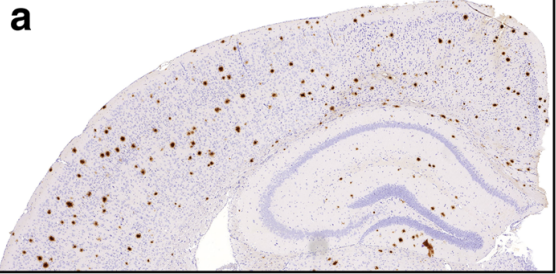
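This low-power section shows the cerebral cortex curving over the hippocampus, with many round, dark brown amyloid plaques scattered through the cortical thickness. The plaques vary in size, from small dots to larger, denser deposits, and are spread fairly evenly from the surface to the deep layers. The blue counterstain picks out the nuclei of the cortical cells as a fine speckle, and the densely packed cell bands of the hippocampus show as darker blue curved lines.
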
